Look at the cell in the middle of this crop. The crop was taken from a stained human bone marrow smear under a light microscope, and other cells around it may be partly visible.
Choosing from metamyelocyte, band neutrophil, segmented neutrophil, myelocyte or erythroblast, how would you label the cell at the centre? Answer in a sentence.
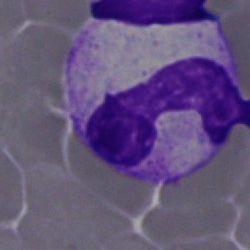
The cell sitting right in the middle is a band neutrophil.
